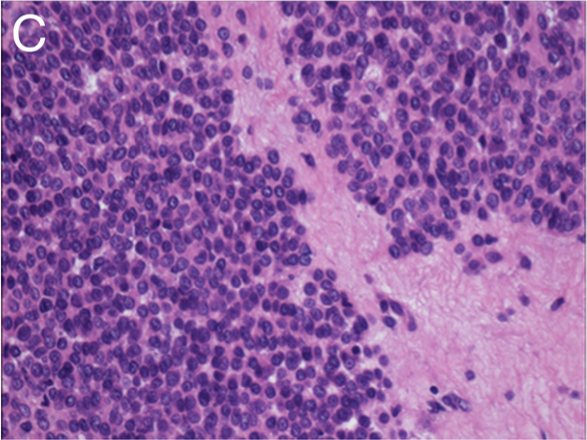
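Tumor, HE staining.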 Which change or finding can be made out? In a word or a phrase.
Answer: Mucinous degeneration and hyalinization.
